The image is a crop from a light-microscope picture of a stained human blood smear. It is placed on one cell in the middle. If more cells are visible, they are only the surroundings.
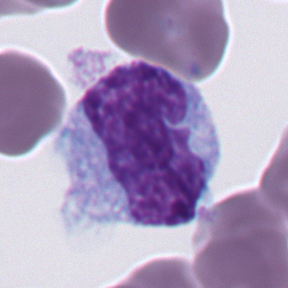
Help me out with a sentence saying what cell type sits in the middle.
On this slide crop, the central cell is a monocyte.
